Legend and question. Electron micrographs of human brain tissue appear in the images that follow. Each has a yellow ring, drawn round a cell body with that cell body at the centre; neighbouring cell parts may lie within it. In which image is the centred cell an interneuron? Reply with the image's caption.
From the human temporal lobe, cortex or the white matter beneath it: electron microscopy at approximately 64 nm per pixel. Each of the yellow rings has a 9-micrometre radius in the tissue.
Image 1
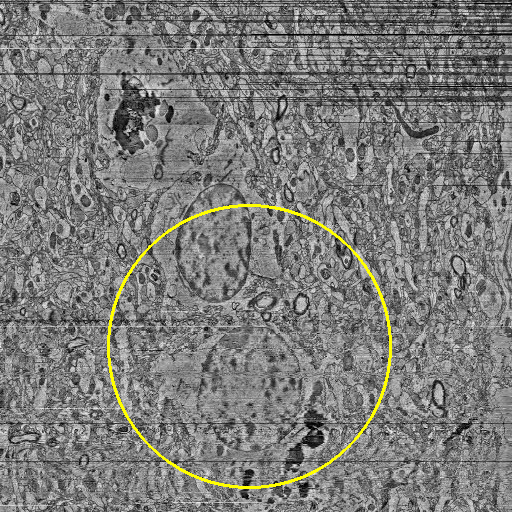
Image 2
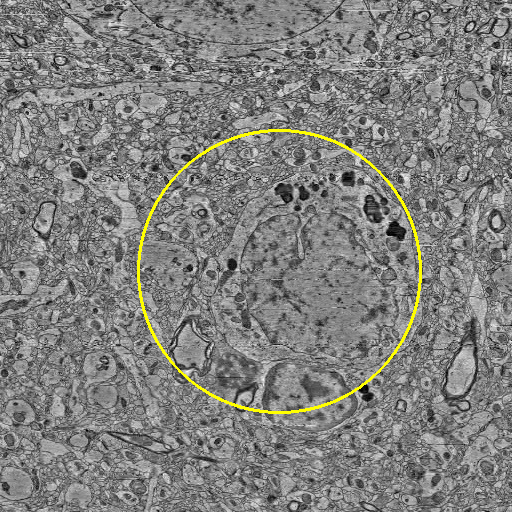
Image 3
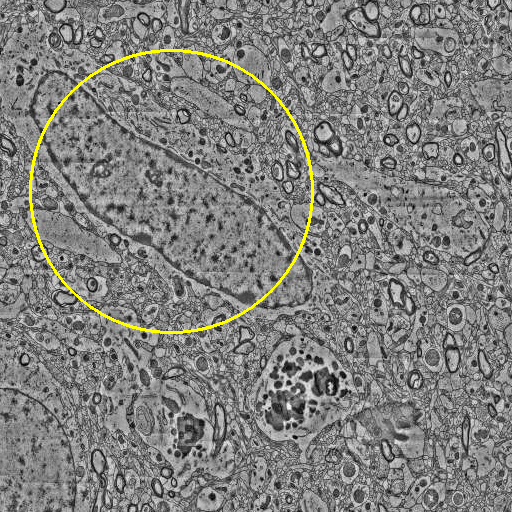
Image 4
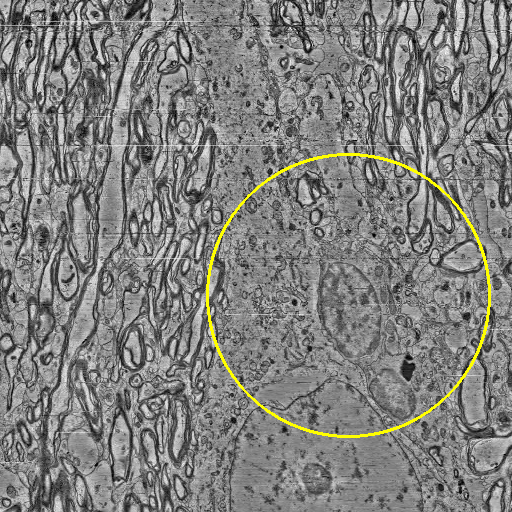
Image 2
